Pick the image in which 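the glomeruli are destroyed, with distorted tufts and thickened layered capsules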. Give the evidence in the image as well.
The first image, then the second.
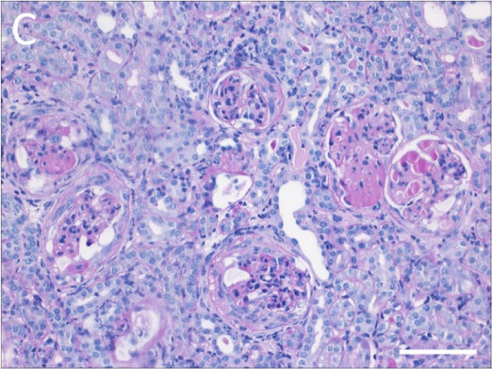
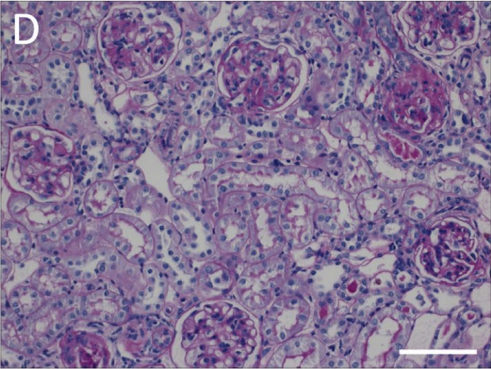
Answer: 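Second image: glomeruli keep recognizable lobulated capillary tufts within a thin capsule. First image: glomerular tufts are distorted and partly replaced by pink material, ringed by layered cells.
Hence: the first image.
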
